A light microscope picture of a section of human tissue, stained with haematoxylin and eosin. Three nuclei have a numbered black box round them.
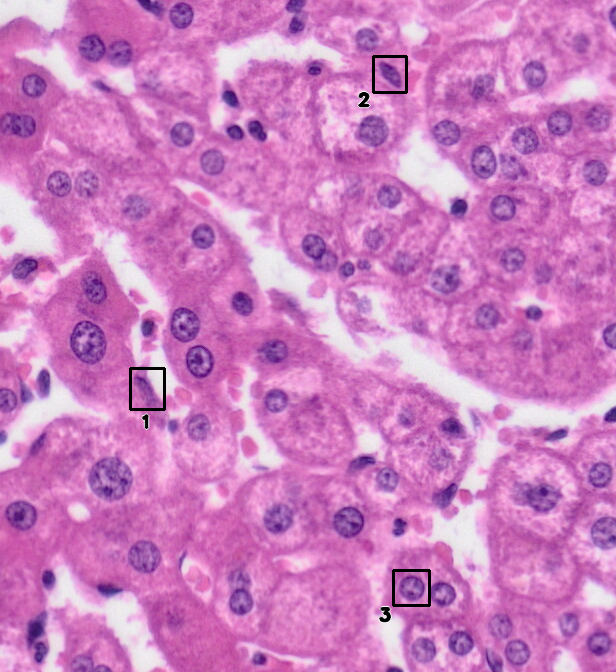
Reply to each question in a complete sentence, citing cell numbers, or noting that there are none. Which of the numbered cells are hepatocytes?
There is only one numbered cell that is a hepatocyte, and it is cell 3.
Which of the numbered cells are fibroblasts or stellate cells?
Among the marked cells, a fibroblast or stellate cell is found only at number 2.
